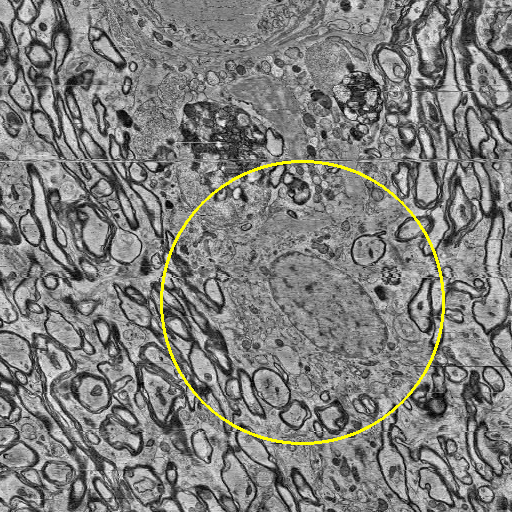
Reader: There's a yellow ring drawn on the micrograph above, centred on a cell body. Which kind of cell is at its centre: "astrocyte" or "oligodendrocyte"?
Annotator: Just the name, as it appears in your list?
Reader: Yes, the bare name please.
astrocyte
